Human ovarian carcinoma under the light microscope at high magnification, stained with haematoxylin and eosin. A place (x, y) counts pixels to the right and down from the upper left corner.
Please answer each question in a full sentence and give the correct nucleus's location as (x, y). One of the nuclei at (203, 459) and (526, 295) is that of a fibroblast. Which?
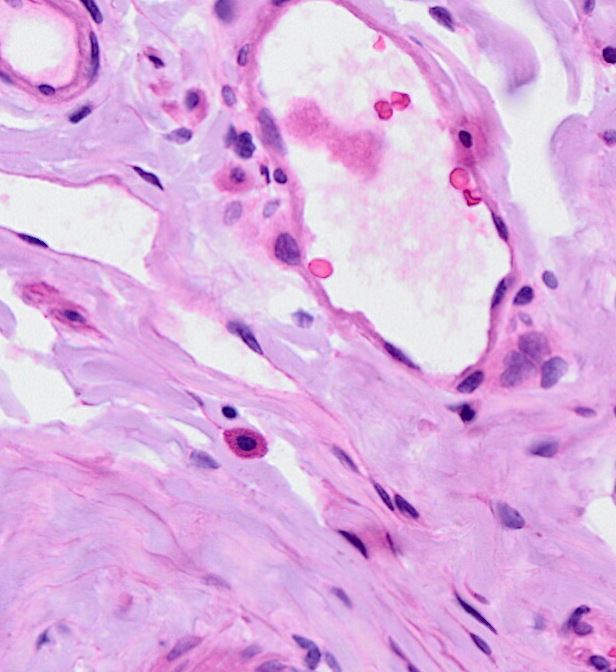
Of the two, the nucleus at (203, 459) is the one contained in a fibroblast.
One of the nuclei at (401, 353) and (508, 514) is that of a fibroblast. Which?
Of the two nuclei, the one sitting at (508, 514) belongs to a fibroblast.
